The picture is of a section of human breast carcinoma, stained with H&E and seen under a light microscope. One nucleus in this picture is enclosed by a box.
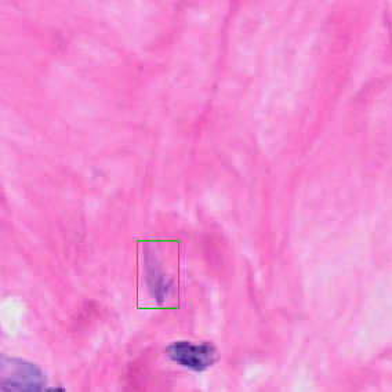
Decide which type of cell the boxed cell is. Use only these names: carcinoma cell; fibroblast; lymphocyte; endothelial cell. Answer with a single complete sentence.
For the purposes of cell typing, the boxed cell is categorized as a fibroblast.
